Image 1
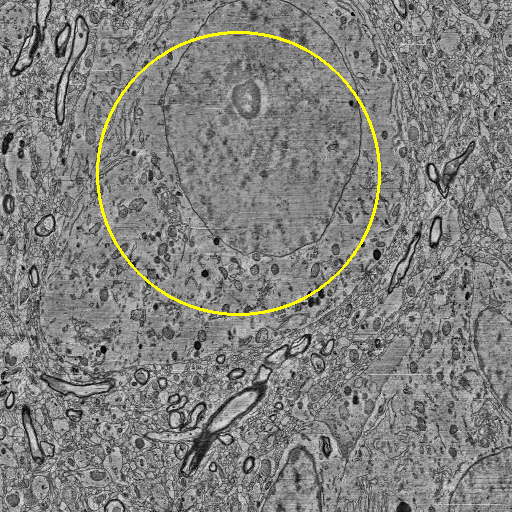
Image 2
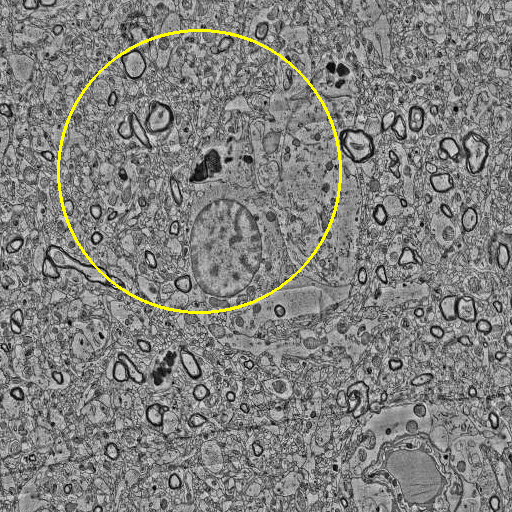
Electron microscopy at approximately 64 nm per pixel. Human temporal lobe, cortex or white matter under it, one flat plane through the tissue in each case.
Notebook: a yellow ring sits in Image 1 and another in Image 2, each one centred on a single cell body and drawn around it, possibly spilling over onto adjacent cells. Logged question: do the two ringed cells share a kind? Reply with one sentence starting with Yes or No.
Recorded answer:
No, the centre cells inside the rings of Image 1 and Image 2 are of two kinds.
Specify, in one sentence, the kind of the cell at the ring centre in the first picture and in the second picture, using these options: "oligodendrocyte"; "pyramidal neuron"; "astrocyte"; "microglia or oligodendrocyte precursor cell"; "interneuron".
So the first is a pyramidal neuron, the second an oligodendrocyte.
